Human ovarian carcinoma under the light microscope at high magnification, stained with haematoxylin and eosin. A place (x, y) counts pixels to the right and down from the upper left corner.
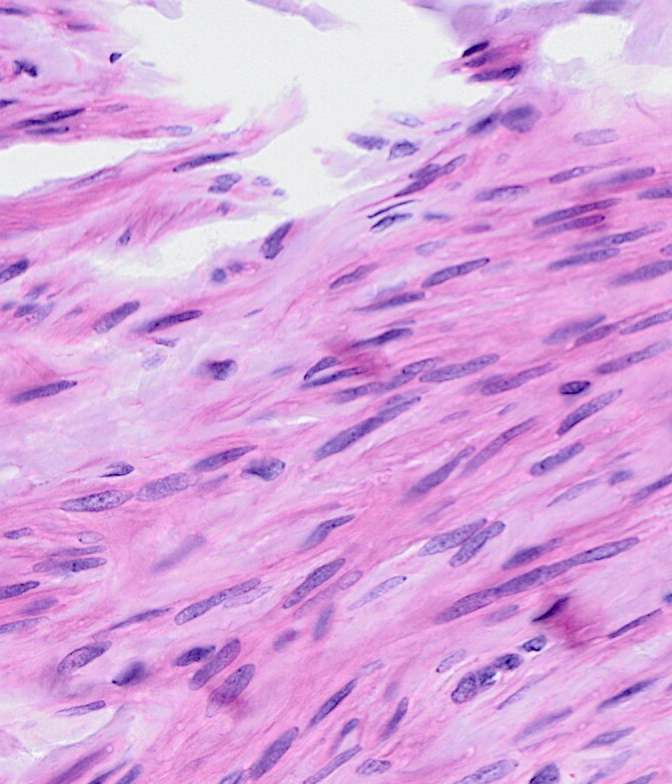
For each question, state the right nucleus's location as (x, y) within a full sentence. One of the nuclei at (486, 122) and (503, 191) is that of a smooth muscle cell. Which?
Among the two, the nucleus at (503, 191) is the nucleus of a smooth muscle cell.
